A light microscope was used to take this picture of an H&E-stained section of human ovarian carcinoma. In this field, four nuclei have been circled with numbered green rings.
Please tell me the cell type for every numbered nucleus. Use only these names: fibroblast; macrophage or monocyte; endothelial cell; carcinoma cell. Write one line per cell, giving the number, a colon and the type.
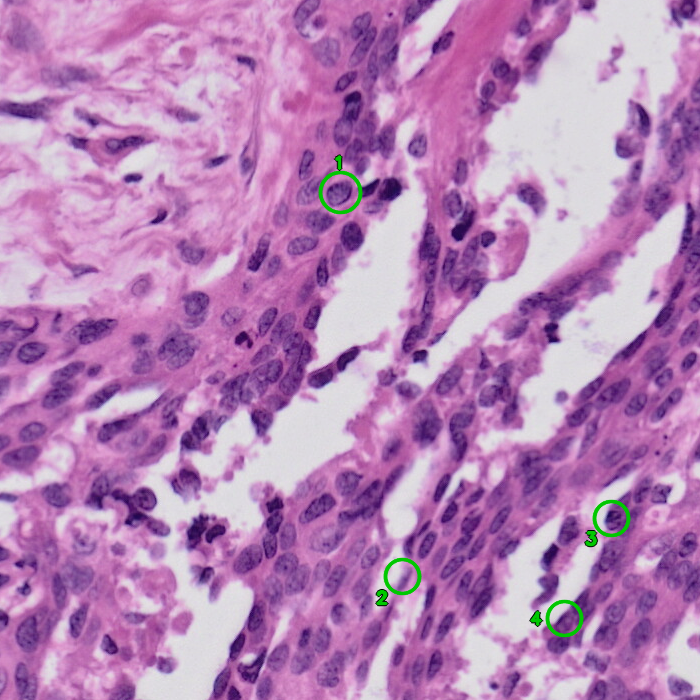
1: macrophage or monocyte
2: carcinoma cell
3: carcinoma cell
4: carcinoma cell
